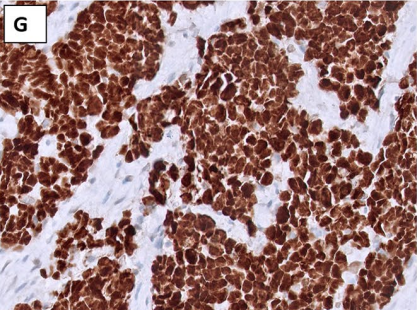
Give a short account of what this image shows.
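Nearly every tumor nucleus is stained strong, diffuse brown, the nuclei ovoid and crowded. Spindle cells of the intervening stroma have pale blue, unstained nuclei.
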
